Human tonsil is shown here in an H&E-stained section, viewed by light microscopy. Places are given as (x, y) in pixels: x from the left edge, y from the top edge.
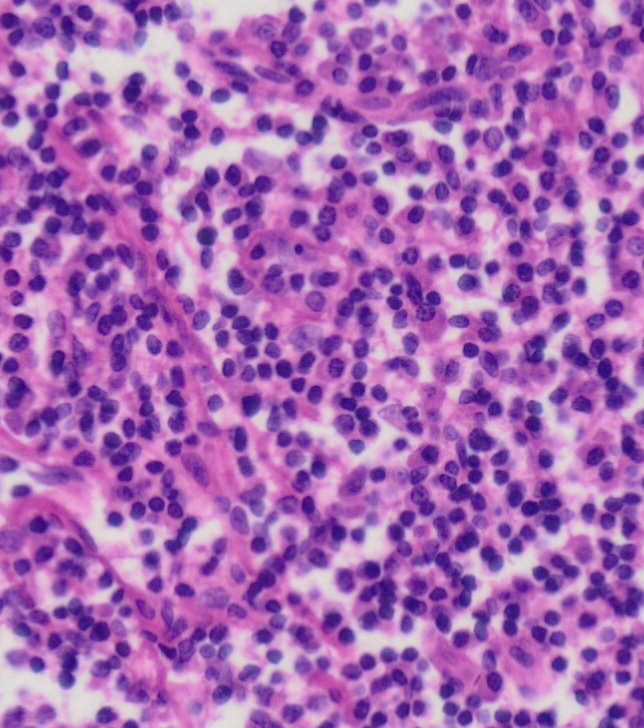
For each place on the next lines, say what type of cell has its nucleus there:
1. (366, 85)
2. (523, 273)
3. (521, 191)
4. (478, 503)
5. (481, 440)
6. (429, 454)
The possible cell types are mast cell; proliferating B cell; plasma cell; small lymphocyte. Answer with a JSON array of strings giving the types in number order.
["plasma cell", "plasma cell", "plasma cell", "small lymphocyte", "proliferating B cell", "plasma cell"]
